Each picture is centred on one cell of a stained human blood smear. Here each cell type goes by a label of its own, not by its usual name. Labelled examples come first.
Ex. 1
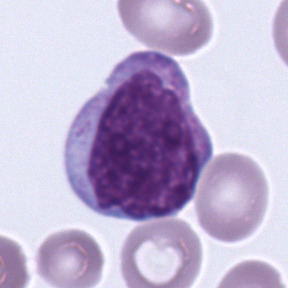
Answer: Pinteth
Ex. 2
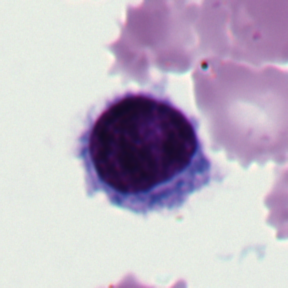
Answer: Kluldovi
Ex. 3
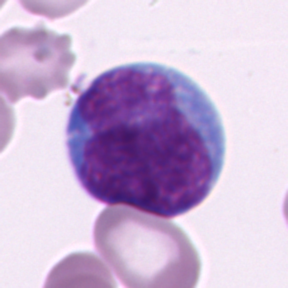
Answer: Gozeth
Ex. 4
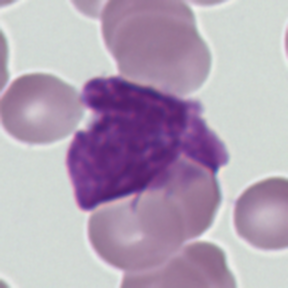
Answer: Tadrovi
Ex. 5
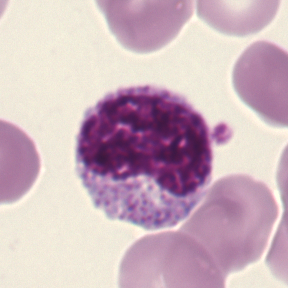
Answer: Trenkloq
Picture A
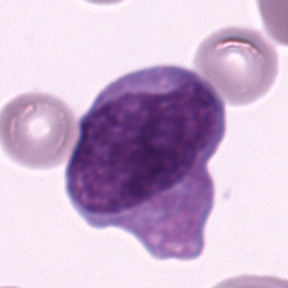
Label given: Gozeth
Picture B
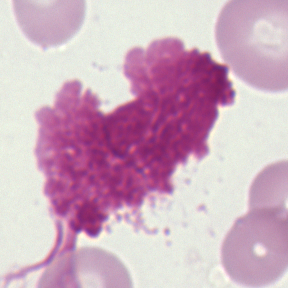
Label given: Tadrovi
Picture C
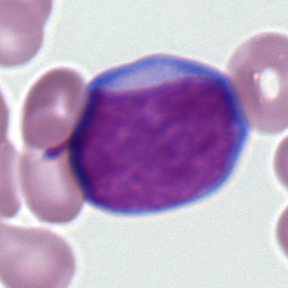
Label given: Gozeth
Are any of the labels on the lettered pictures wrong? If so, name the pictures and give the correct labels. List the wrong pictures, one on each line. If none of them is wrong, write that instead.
A is labelled Gozeth; correct label: Pinteth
